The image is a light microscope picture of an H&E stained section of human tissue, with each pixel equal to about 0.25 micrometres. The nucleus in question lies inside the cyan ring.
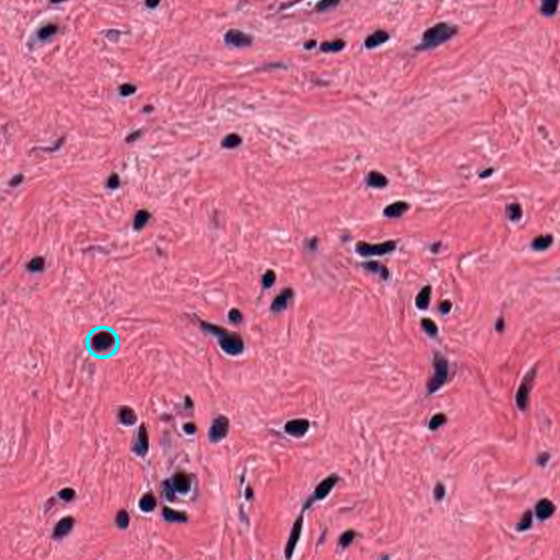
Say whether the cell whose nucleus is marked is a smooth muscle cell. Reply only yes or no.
no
